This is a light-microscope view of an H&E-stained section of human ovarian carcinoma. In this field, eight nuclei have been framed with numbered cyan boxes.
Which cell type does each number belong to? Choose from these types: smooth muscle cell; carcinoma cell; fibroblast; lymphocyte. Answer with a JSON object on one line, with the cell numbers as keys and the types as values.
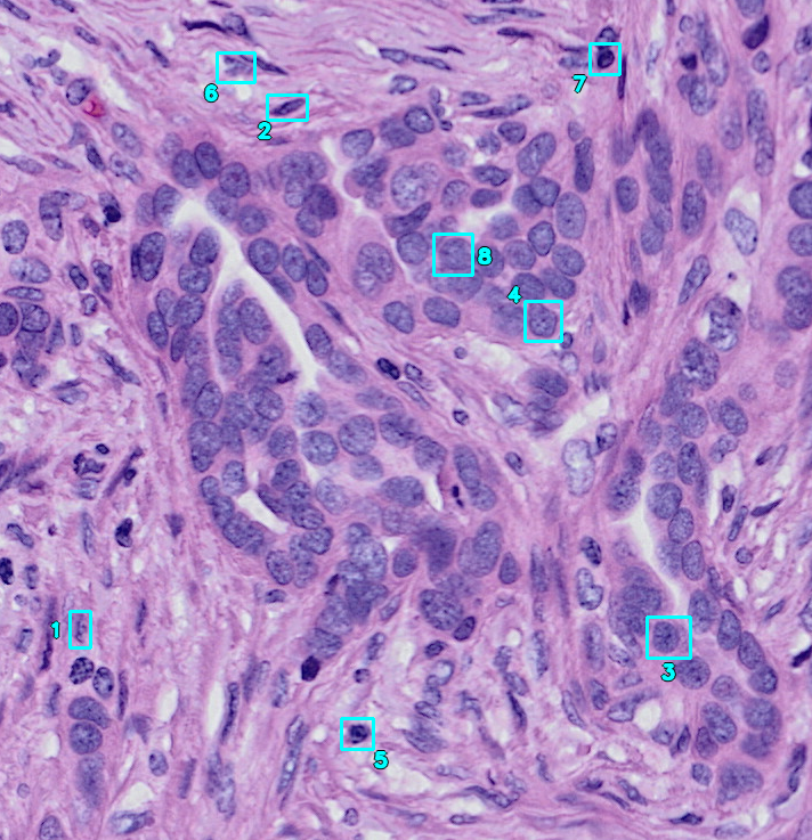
{"1": "fibroblast", "2": "fibroblast", "3": "carcinoma cell", "4": "carcinoma cell", "5": "lymphocyte", "6": "fibroblast", "7": "lymphocyte", "8": "carcinoma cell"}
